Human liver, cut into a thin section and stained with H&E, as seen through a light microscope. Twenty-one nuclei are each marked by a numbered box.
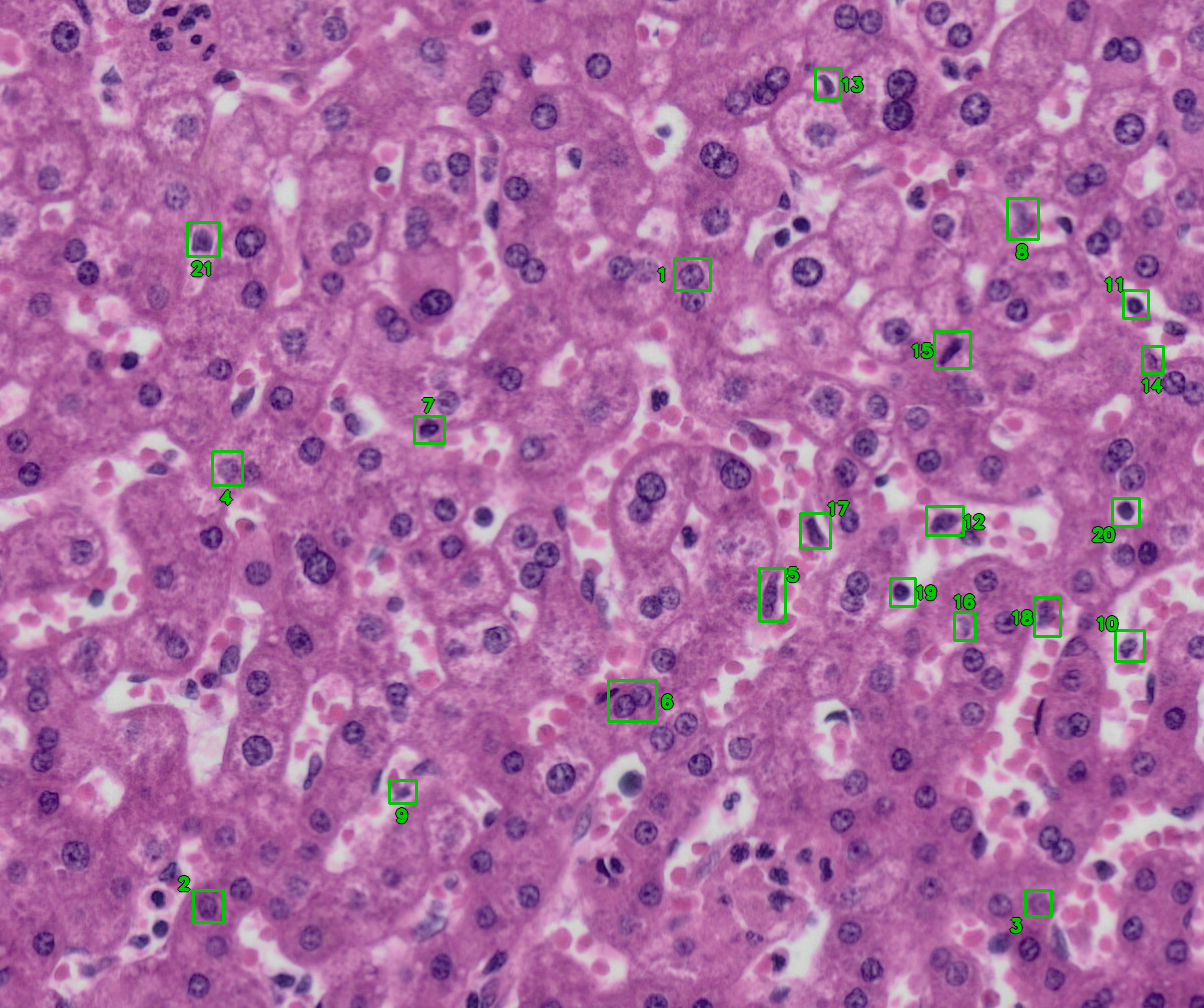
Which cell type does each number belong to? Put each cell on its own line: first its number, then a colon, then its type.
1: hepatocyte
2: hepatocyte
3: hepatocyte
4: hepatocyte
5: Kupffer cell
6: hepatocyte
7: fibroblast or stellate cell
8: Kupffer cell
9: lymphocyte
10: lymphocyte
11: lymphocyte
12: Kupffer cell
13: endothelial cell
14: fibroblast or stellate cell
15: fibroblast or stellate cell
16: endothelial cell
17: Kupffer cell
18: endothelial cell
19: lymphocyte
20: lymphocyte
21: endothelial cell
